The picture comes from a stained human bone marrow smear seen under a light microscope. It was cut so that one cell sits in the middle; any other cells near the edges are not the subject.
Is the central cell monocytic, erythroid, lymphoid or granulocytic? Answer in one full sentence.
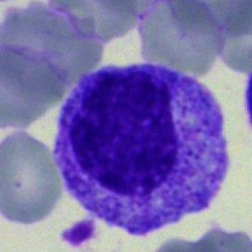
Our central cell here is part of the granulocytic lineage.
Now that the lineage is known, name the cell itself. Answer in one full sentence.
The cell marked by its central position in the crop is a myelocyte.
